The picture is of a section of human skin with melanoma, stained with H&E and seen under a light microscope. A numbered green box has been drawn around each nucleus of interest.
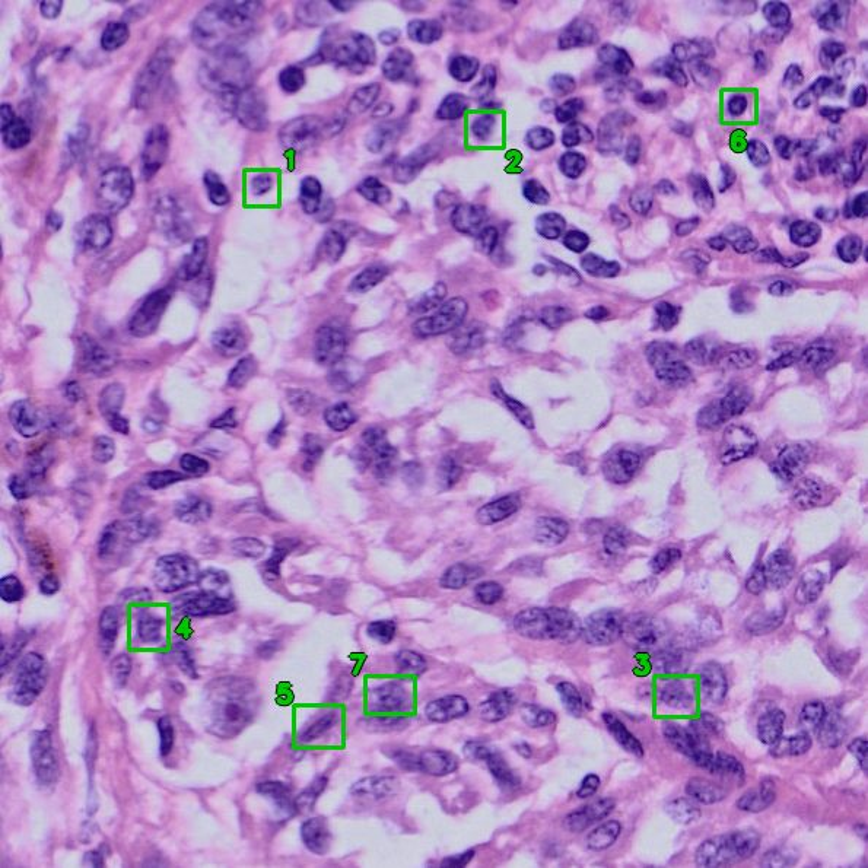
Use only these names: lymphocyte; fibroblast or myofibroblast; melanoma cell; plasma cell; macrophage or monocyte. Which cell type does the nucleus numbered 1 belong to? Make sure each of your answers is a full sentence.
At number 1, the marked cell is a lymphocyte.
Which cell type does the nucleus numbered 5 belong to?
What the number 5 marks in this field is a melanoma cell.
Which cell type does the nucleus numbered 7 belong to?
Cell 7, among those numbered, is a melanoma cell.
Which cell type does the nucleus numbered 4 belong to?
The numbered cell 4 in this field is a melanoma cell.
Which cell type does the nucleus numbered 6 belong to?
Recognised here as a lymphocyte is the cell numbered 6.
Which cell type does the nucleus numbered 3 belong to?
The numeral 3 marks a melanoma cell in this section.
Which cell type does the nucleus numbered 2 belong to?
The cell bearing label 2 corresponds to a lymphocyte.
